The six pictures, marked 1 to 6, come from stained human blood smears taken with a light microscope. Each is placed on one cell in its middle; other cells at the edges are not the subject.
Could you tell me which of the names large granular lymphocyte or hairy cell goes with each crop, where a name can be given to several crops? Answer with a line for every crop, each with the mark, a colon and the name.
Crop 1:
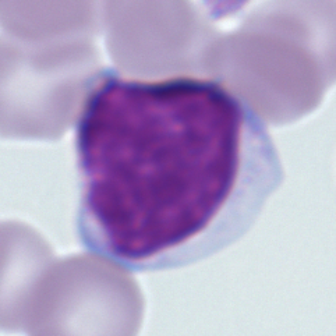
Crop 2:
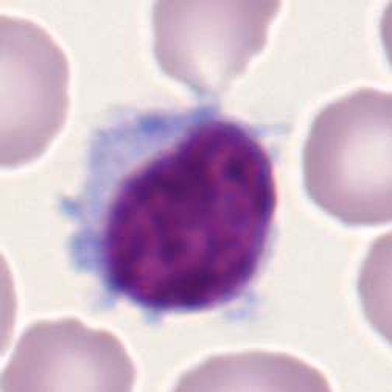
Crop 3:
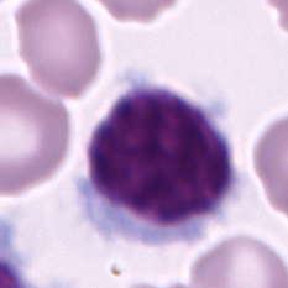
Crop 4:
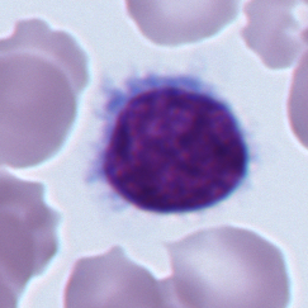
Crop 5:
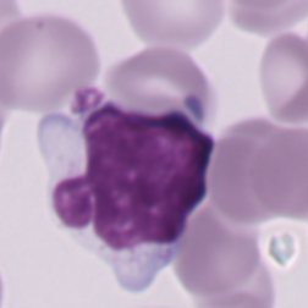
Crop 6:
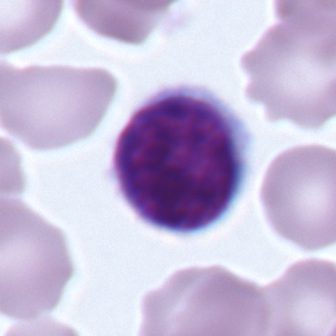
1: large granular lymphocyte
2: hairy cell
3: hairy cell
4: hairy cell
5: large granular lymphocyte
6: hairy cell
